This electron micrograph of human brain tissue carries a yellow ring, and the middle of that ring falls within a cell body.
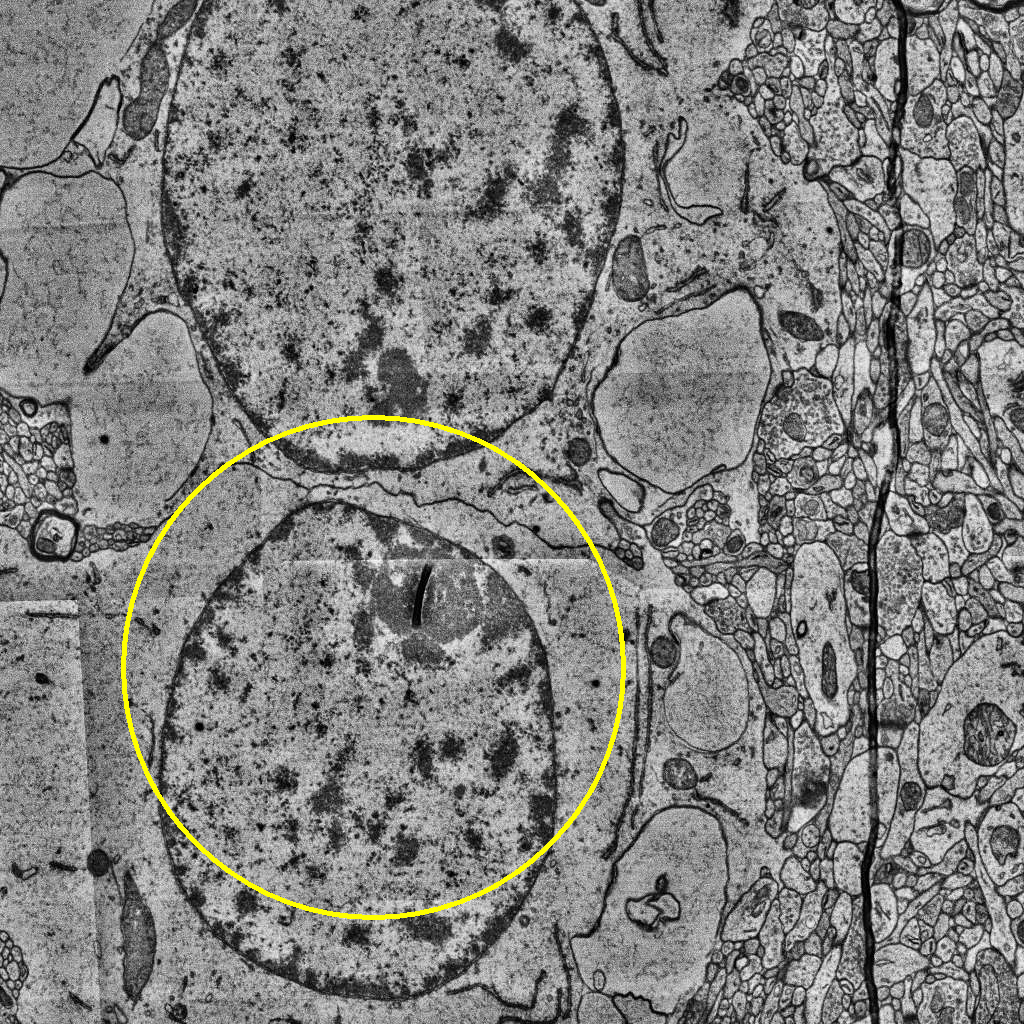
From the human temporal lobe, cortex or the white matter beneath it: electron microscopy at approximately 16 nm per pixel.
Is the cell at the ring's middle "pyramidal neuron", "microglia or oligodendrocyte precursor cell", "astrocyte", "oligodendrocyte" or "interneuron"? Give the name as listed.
astrocyte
